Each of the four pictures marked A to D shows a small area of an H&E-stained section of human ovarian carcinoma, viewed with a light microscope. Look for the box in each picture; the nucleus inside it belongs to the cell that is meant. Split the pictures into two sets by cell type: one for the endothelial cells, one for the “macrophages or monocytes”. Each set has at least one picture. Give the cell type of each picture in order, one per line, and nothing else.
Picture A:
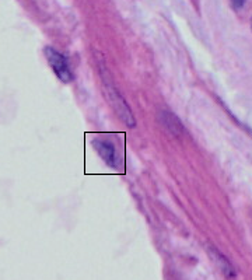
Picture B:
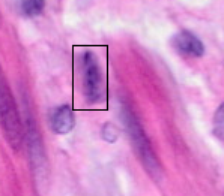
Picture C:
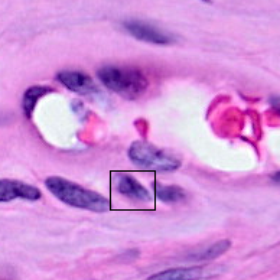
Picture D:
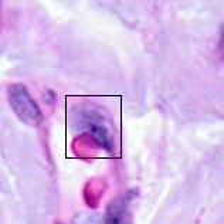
endothelial cell
macrophage or monocyte
endothelial cell
endothelial cell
